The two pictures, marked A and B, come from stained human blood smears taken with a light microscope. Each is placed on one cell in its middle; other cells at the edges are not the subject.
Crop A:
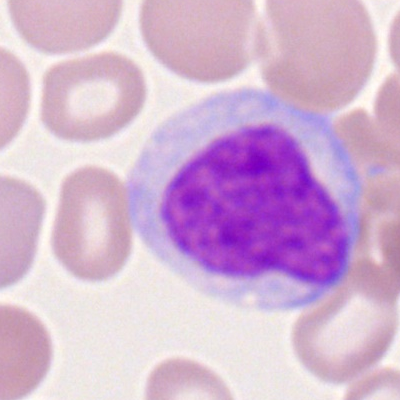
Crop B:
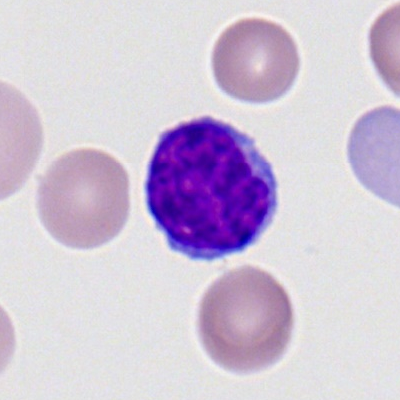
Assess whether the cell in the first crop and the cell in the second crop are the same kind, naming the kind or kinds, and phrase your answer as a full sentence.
No, crop A captures a monocyte; meanwhile crop B captures a lymphocyte.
